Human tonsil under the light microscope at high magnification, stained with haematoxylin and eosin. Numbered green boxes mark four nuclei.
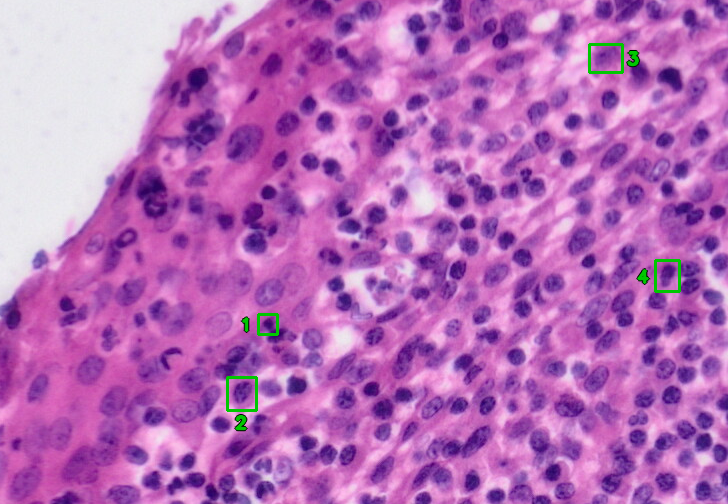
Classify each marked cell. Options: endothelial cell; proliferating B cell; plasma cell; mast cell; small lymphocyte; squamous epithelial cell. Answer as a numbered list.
1. squamous epithelial cell
2. plasma cell
3. squamous epithelial cell
4. plasma cell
